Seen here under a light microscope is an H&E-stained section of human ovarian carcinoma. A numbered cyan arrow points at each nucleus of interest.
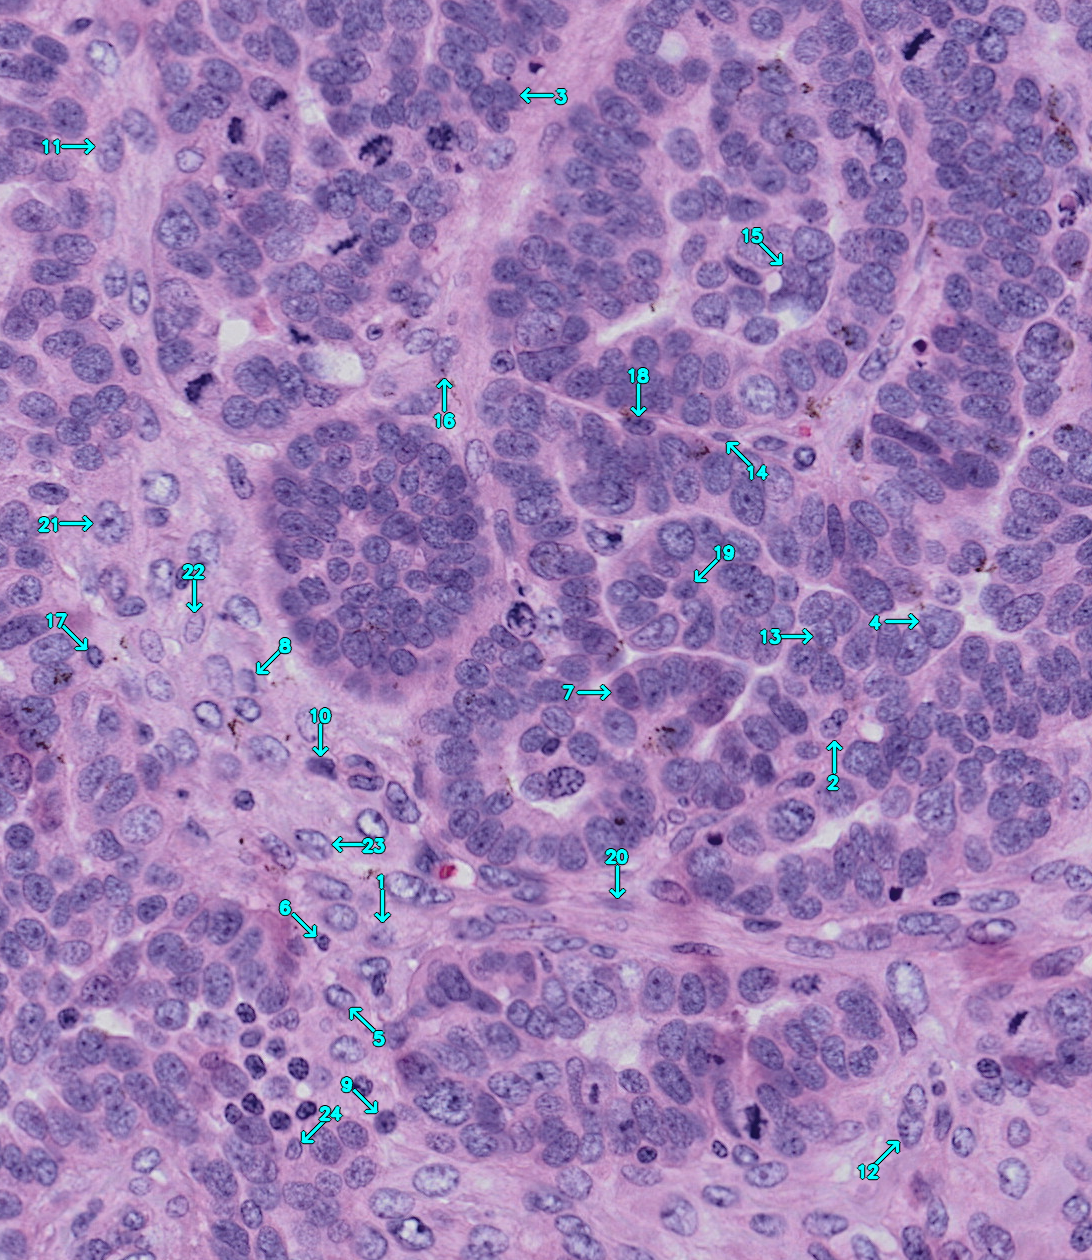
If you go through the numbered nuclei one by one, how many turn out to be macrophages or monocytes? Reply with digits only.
6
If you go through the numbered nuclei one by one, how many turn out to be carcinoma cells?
6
